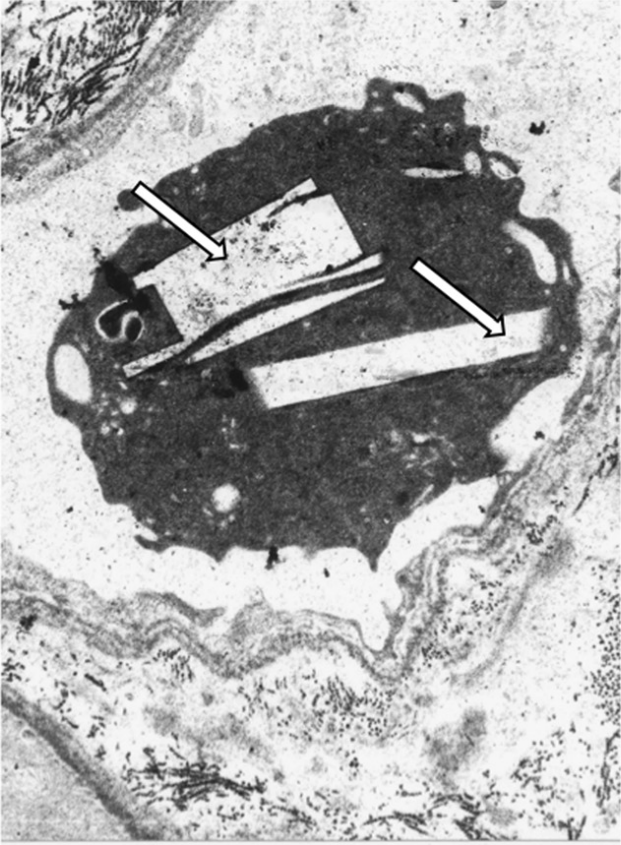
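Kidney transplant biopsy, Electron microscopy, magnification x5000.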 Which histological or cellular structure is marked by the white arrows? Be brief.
Cystine crystals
